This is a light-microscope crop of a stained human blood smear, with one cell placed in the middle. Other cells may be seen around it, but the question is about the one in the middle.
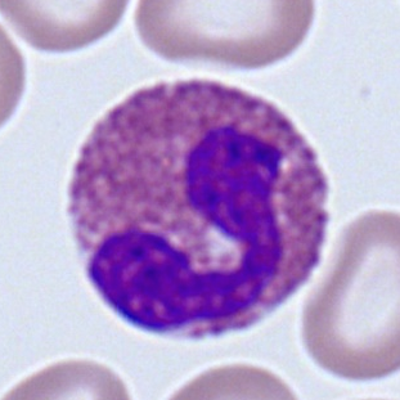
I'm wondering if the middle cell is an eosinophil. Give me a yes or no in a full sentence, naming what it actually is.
Yes, shown in the middle of the crop is an eosinophil.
